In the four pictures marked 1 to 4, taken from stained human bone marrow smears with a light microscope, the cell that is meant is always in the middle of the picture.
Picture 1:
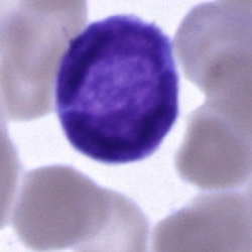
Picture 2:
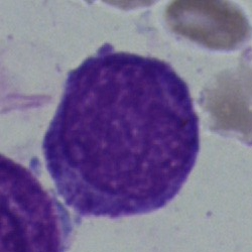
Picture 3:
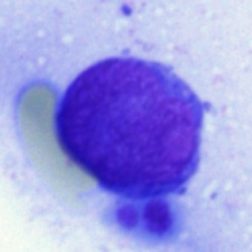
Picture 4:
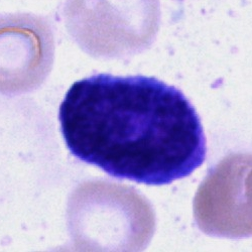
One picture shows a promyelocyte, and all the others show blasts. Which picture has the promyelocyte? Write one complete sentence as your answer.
Picture 2 is the one that shows the promyelocyte.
